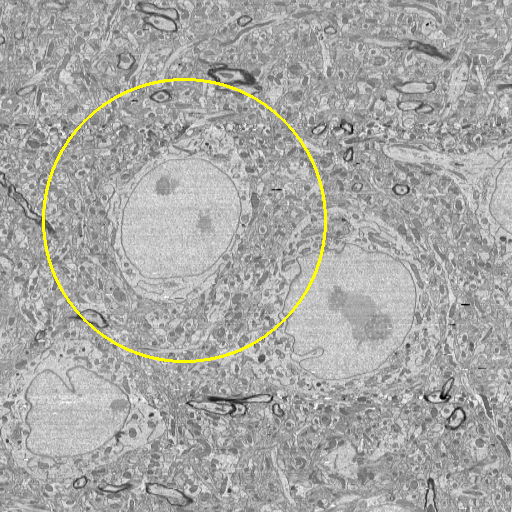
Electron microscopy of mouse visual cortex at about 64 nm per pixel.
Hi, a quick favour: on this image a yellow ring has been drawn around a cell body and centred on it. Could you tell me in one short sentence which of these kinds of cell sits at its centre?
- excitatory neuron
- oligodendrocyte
The ring is centred on an excitatory neuron.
